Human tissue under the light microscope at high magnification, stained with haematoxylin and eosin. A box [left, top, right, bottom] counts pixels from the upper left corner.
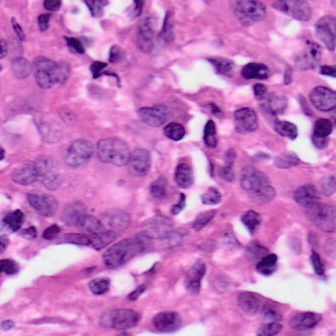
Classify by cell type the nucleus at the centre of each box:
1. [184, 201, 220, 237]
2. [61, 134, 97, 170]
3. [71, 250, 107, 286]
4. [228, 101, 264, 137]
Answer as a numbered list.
1. carcinoma cell
2. carcinoma cell
3. carcinoma cell
4. macrophage or monocyte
